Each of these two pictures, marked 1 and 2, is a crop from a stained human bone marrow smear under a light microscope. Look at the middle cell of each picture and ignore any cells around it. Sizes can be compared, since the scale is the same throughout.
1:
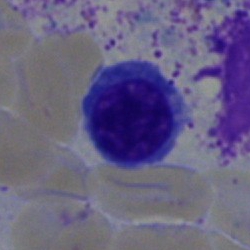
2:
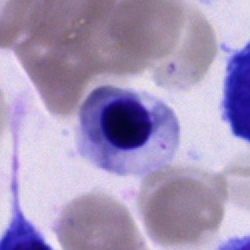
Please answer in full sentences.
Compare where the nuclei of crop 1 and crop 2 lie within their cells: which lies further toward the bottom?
Seen within its cell, the nucleus in crop 1 lies further toward the bottom.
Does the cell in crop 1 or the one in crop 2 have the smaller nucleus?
It is the nucleus in crop 2; the one in crop 1 has about 3 times its area.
